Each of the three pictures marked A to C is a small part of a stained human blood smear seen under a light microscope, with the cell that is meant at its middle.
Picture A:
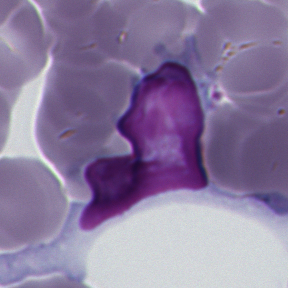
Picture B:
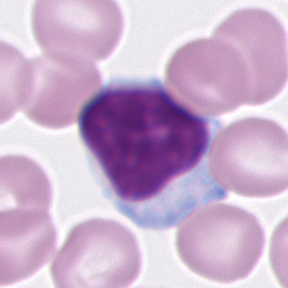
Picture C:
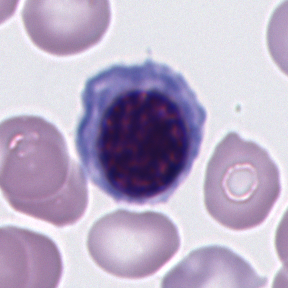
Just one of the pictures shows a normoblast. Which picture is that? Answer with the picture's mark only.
C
